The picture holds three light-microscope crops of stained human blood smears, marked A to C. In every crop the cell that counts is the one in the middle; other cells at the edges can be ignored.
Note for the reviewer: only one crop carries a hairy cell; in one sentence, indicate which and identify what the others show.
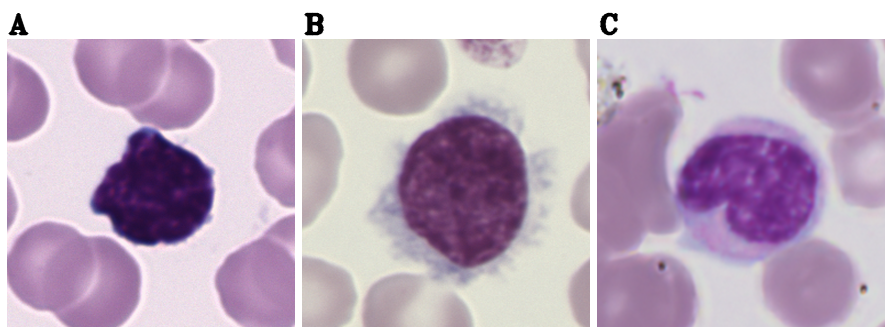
In the set, crop B shows a hairy cell, whereas crop A is a typical lymphocyte and crop C is a band neutrophil.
